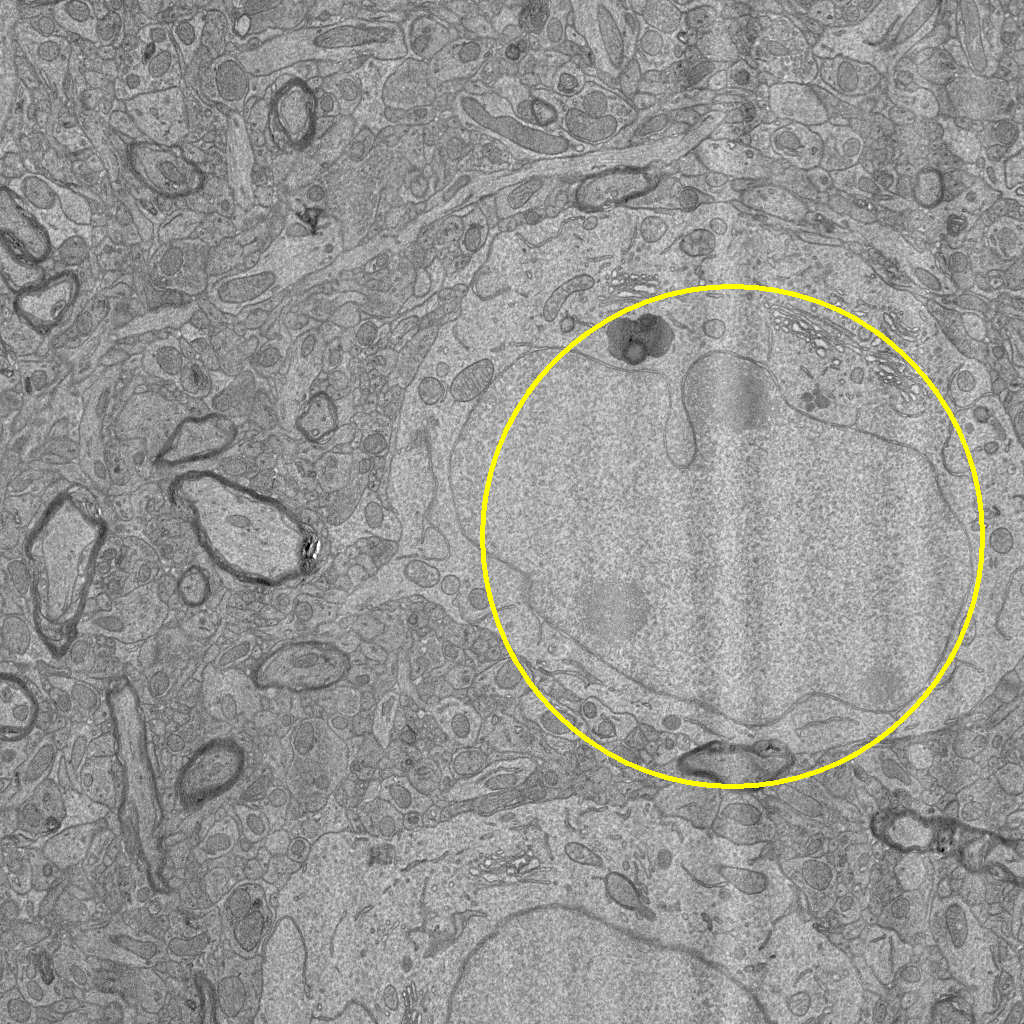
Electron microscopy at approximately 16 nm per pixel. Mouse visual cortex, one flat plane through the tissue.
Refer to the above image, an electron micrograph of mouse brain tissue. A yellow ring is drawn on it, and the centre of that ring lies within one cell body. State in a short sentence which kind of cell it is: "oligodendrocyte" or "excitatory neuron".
The centre of the ring falls on an excitatory neuron.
